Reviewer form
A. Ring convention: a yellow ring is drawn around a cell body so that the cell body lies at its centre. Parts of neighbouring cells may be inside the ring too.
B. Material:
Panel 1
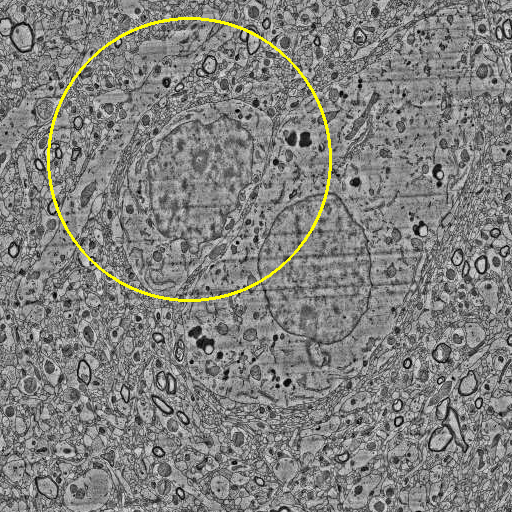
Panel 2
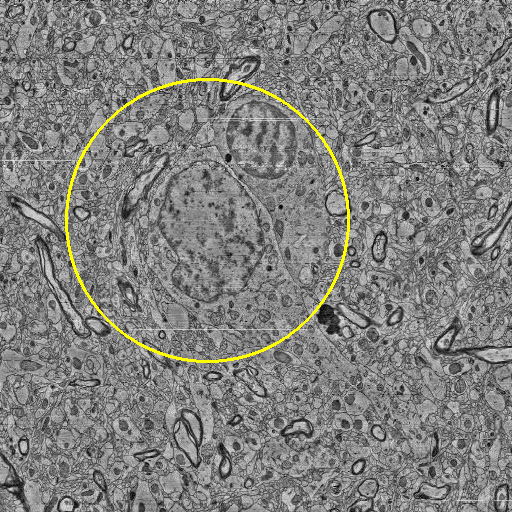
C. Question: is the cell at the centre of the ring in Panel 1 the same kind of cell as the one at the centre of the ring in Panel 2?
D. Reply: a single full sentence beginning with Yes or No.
Yes, the cells in Panel 1 and Panel 2 are the same kind of cell.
